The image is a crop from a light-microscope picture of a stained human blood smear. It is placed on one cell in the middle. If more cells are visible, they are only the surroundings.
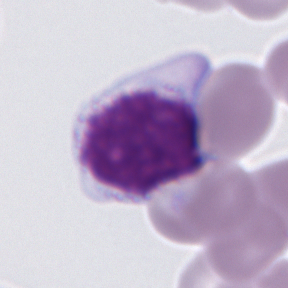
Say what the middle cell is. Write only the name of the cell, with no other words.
large granular lymphocyte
